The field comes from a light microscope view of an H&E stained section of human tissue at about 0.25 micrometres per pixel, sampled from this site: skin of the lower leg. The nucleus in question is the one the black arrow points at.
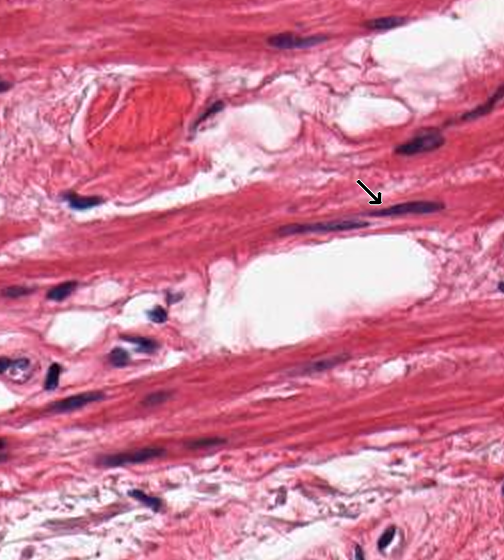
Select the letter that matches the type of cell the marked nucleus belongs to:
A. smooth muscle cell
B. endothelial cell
A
